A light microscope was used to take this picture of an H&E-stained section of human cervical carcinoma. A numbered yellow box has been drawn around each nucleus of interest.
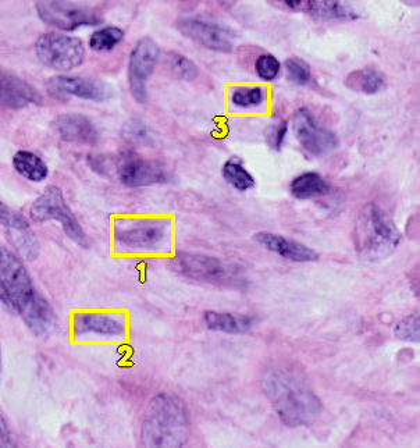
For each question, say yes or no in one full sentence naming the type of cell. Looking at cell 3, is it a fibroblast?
No, number 3 points to a lymphocyte and not to a fibroblast.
